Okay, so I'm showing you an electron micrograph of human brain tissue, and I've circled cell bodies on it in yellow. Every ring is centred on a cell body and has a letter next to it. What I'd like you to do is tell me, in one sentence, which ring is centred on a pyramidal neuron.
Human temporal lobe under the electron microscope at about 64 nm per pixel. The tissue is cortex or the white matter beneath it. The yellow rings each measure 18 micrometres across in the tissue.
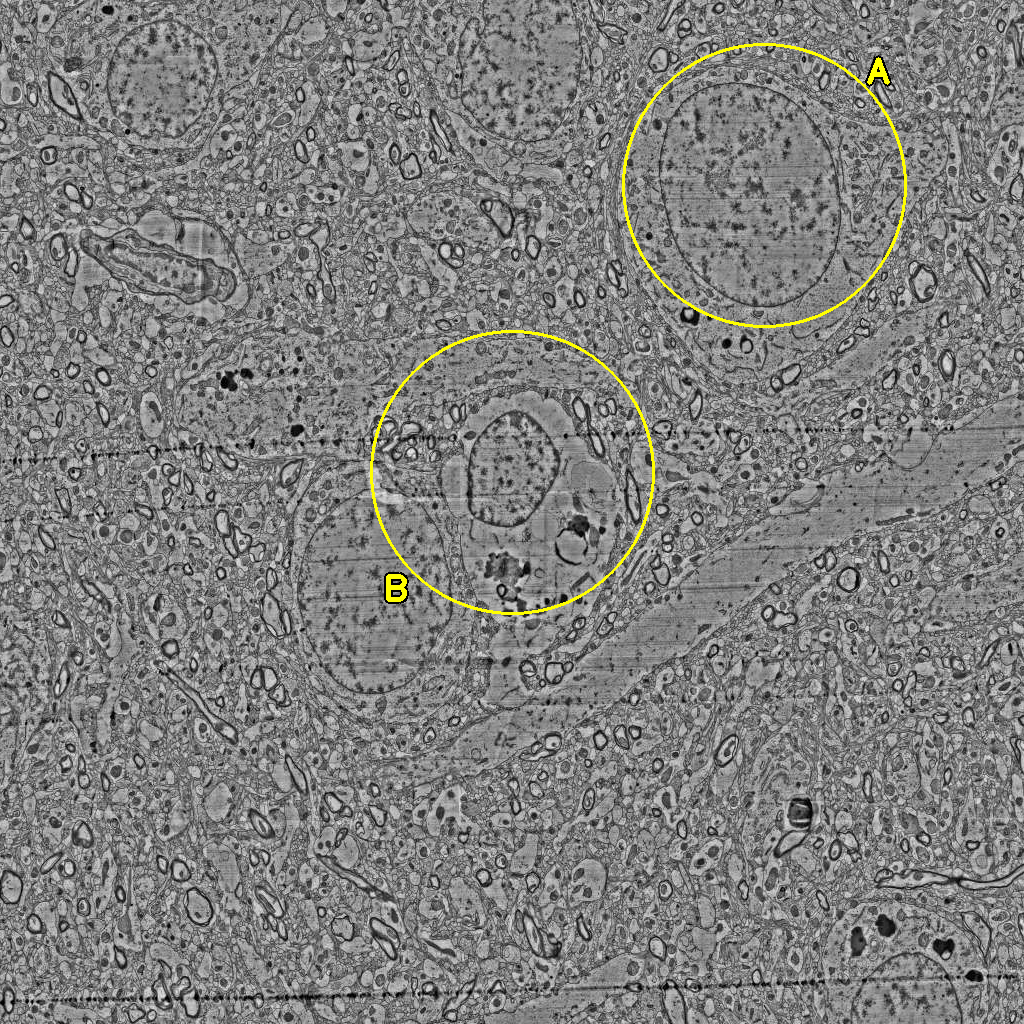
It's ring A.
